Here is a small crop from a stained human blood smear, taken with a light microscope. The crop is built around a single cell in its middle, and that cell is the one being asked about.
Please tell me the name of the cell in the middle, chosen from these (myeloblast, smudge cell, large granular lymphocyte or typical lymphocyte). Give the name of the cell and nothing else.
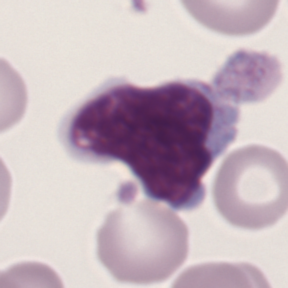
typical lymphocyte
